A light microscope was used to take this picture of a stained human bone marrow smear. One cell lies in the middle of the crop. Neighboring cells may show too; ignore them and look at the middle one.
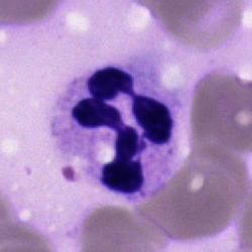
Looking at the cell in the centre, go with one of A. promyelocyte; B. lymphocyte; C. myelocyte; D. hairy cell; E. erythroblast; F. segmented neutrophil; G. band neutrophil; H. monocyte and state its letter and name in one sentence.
The correct identification, given in option F, is that the central cell is a segmented neutrophil.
